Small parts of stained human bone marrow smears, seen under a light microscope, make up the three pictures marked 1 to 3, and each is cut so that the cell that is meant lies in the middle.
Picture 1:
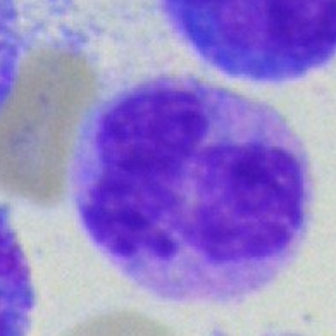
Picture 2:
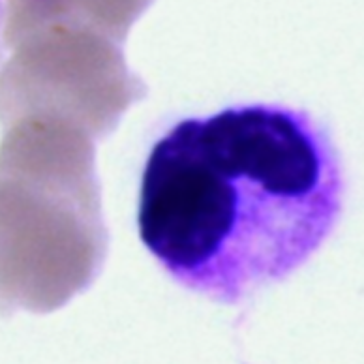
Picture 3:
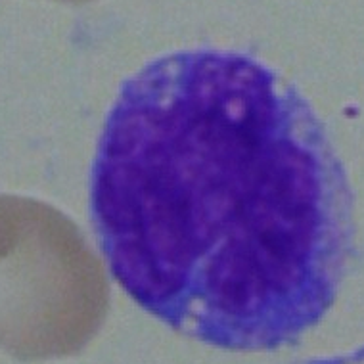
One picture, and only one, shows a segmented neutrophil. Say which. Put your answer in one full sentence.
The segmented neutrophil is the one in picture 2.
